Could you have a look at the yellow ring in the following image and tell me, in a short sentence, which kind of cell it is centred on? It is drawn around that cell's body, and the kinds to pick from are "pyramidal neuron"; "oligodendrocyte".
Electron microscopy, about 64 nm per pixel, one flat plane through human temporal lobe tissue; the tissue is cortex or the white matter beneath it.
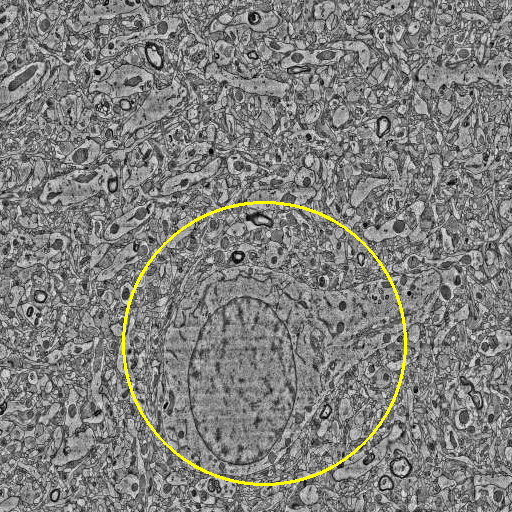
The ring is centred on the body of a pyramidal neuron.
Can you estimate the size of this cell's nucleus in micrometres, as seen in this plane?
About 11 by 7 micrometres; in this plane the nucleus is clearly longer than it is wide.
